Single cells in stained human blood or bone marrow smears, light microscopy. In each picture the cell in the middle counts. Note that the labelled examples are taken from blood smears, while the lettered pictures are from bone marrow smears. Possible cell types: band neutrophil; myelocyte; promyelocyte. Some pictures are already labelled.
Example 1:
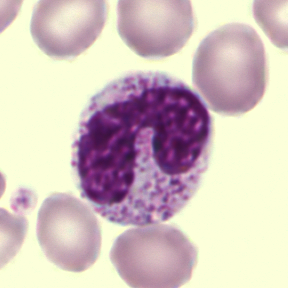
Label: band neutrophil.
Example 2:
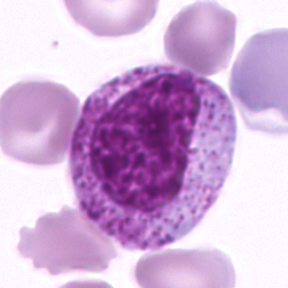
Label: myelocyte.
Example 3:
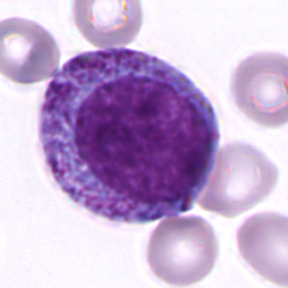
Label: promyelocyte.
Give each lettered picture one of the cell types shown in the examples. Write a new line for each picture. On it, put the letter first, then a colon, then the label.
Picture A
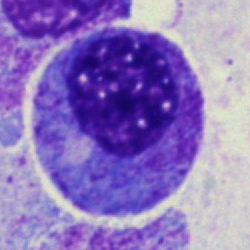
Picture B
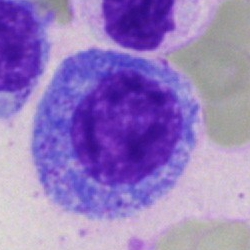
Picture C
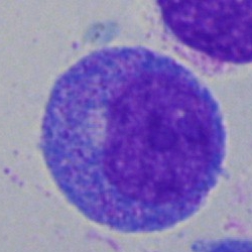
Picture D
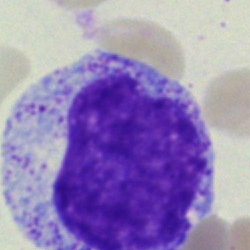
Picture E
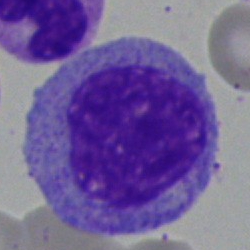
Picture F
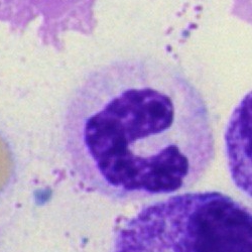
A: promyelocyte.
B: promyelocyte.
C: promyelocyte.
D: myelocyte.
E: promyelocyte.
F: band neutrophil.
